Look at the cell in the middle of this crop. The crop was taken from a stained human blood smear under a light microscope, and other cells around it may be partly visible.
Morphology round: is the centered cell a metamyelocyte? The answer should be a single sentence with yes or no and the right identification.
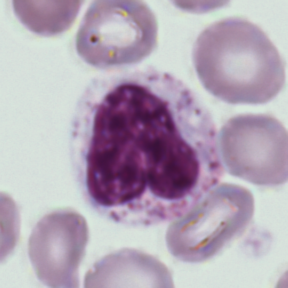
No, instead of a metamyelocyte, the middle cell is a band neutrophil.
